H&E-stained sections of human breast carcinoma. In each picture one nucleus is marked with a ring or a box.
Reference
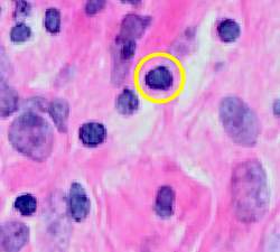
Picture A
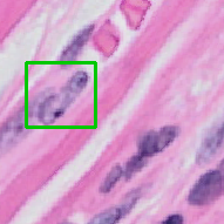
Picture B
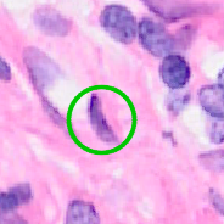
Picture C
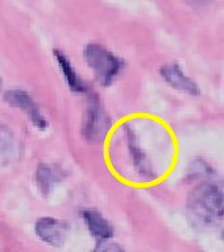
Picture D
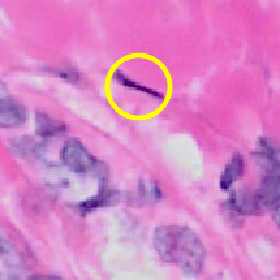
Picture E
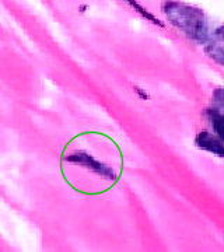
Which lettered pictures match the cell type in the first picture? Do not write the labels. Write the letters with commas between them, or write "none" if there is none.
none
